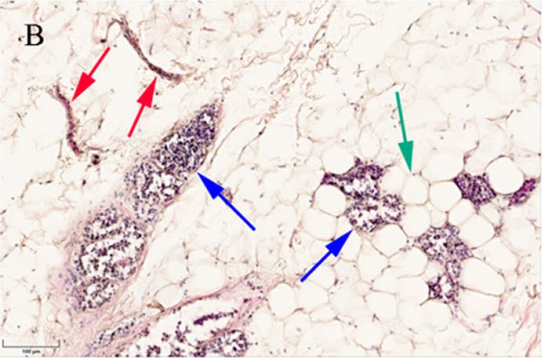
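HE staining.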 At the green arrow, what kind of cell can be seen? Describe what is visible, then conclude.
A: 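The arrow points at large, round to polygonal, empty-looking cells. The cells have only thin pale outlines and no visible content. Such cells fill most of the field. On this evidence: adipocytes.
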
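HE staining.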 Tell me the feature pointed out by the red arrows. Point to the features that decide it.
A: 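The arrows point at thin, elongated walled channels with flattened dark nuclei. The channels run among the clear fat cells.
Answer: vascular tubes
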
